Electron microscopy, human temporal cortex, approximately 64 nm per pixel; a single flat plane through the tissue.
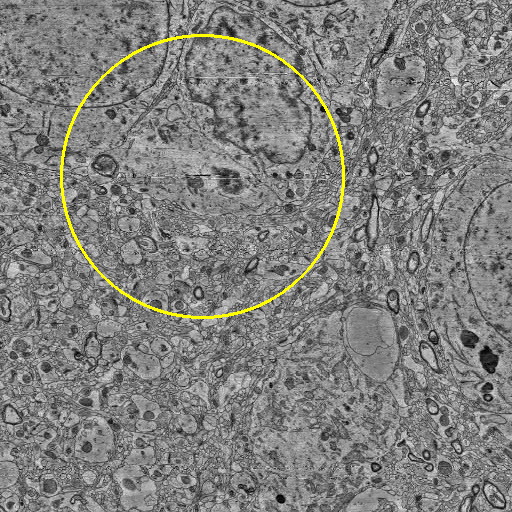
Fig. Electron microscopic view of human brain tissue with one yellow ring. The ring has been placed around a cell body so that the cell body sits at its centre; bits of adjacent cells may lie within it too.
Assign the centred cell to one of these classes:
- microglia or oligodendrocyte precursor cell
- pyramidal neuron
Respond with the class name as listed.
microglia or oligodendrocyte precursor cell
